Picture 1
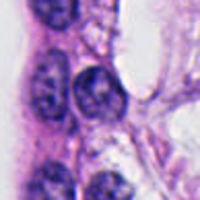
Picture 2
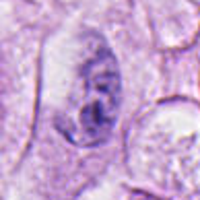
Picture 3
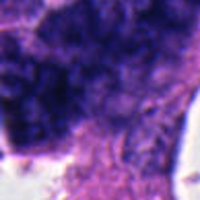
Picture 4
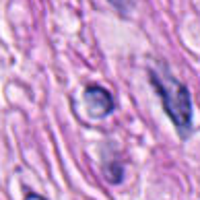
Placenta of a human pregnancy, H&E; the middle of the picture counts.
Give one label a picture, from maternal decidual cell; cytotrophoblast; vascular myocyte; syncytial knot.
1. cytotrophoblast
2. maternal decidual cell
3. syncytial knot
4. vascular myocyte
